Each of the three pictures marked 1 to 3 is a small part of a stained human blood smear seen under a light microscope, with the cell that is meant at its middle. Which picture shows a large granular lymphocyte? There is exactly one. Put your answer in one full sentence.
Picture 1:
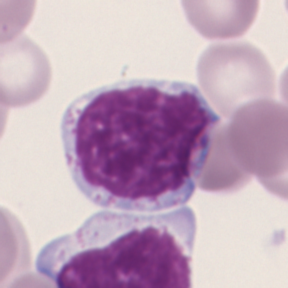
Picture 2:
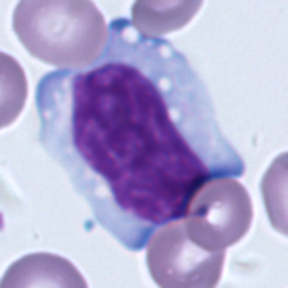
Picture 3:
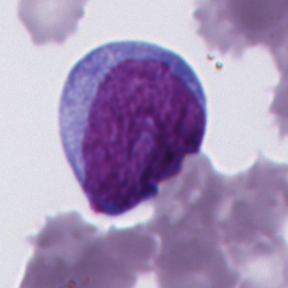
The picture with the large granular lymphocyte is 1.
